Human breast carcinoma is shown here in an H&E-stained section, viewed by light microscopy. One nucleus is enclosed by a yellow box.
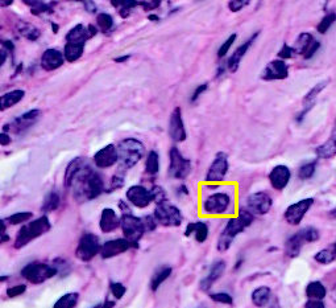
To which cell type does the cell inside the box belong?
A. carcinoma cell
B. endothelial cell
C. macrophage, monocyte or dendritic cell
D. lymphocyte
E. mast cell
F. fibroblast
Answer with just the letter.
D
